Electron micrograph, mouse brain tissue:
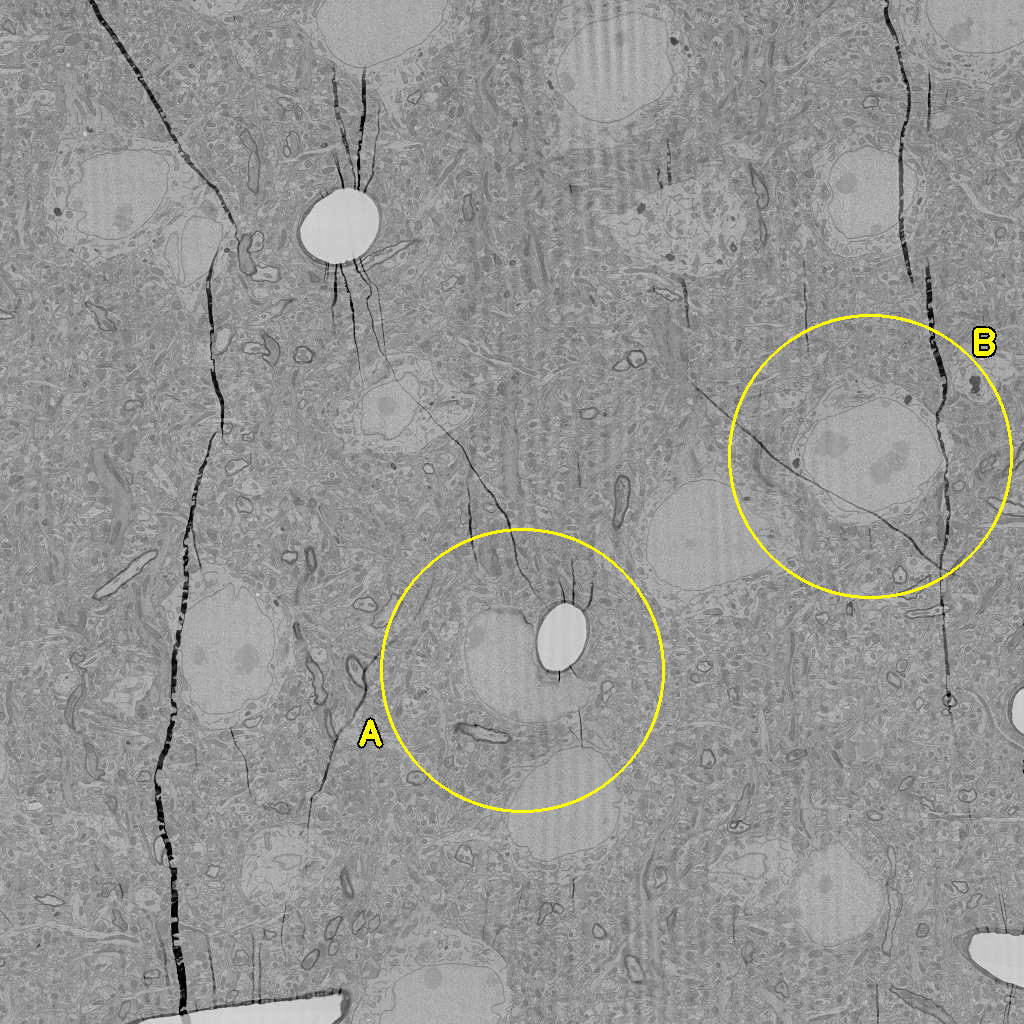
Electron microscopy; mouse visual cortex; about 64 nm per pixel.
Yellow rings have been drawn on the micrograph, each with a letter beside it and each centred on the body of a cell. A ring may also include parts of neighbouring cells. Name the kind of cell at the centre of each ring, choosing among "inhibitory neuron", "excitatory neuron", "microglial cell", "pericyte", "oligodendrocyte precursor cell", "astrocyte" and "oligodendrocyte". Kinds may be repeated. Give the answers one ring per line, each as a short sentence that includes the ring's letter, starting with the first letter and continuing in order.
Ring A is placed on an astrocyte.
Ring B is placed on an excitatory neuron.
